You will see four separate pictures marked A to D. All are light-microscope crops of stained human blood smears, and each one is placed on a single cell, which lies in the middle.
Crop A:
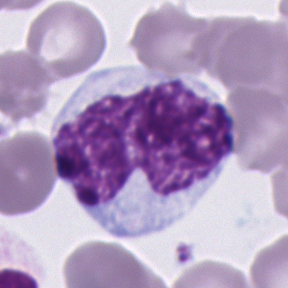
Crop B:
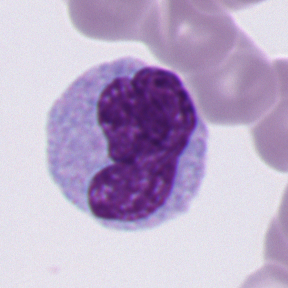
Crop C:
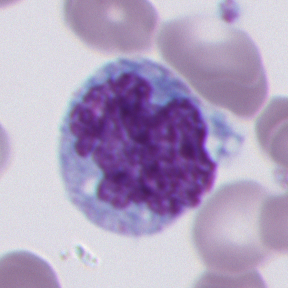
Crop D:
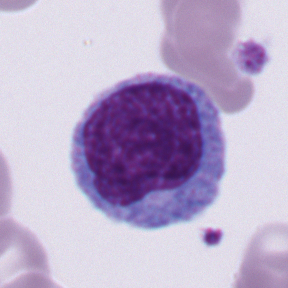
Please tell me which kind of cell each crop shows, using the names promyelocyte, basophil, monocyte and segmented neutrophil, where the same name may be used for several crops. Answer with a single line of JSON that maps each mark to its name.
{"A": "monocyte", "B": "monocyte", "C": "monocyte", "D": "monocyte"}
